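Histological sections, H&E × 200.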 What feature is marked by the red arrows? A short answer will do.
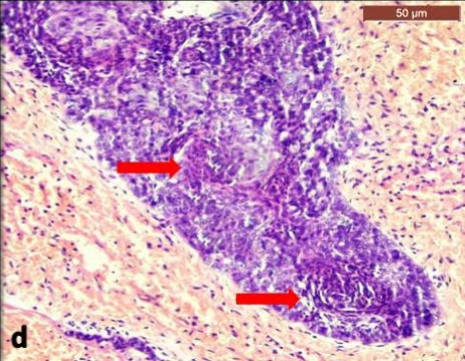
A: Whorls pattern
